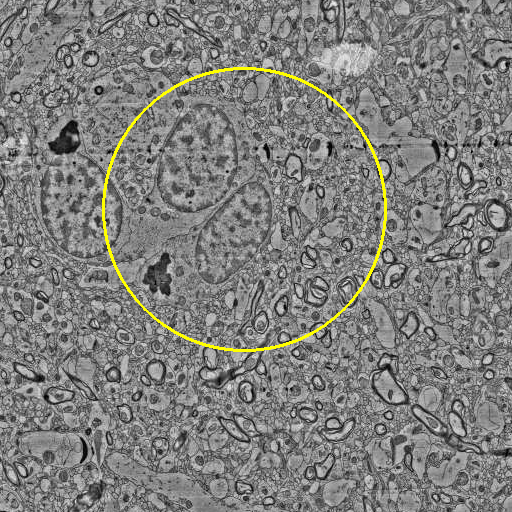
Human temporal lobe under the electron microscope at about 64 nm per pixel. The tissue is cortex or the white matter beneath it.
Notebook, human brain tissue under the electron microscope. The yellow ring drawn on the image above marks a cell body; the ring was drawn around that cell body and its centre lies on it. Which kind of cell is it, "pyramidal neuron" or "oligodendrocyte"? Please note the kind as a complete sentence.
The marked cell body is that of an oligodendrocyte.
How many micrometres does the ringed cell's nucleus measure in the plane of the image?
The nucleus is about 7 micrometres in length and 4 in width, clearly longer than it is wide in this plane.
